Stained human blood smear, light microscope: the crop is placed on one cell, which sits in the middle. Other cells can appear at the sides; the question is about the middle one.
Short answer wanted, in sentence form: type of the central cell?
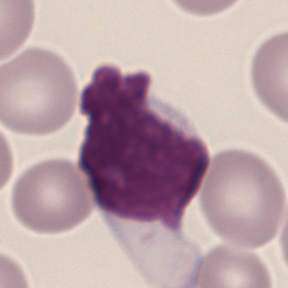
The identification for the central cell is a large granular lymphocyte.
